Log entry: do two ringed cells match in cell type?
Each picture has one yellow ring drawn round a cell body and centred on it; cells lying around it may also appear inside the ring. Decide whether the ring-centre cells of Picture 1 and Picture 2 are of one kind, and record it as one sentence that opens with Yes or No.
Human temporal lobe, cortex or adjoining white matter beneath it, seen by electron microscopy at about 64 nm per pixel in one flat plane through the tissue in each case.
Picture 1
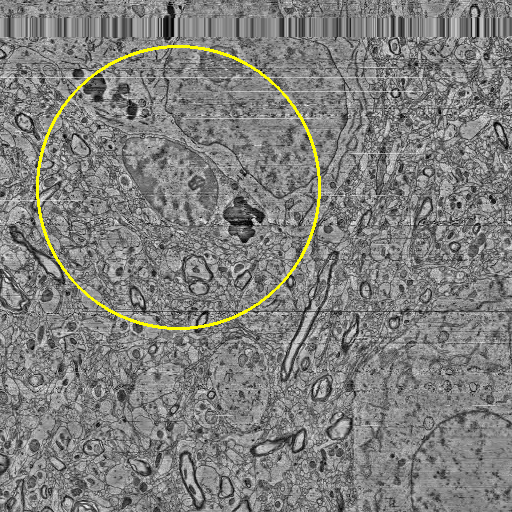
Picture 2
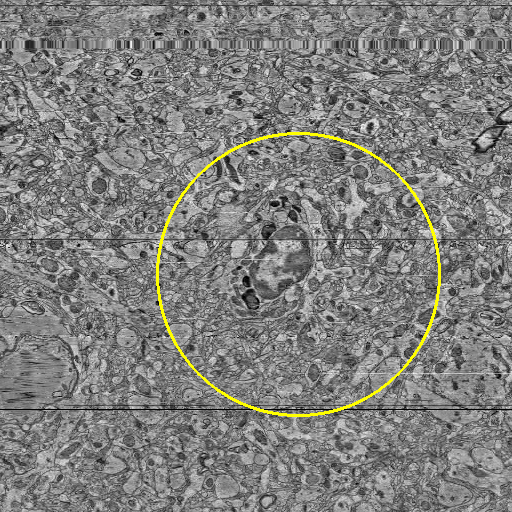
No, the cells at the ring centres of the two pictures belong to two kinds.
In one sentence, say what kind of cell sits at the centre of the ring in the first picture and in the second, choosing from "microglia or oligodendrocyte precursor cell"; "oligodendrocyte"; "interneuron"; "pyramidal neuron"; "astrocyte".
The first picture's ringed cell is an oligodendrocyte, while the second picture's is a microglial cell or oligodendrocyte precursor cell.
